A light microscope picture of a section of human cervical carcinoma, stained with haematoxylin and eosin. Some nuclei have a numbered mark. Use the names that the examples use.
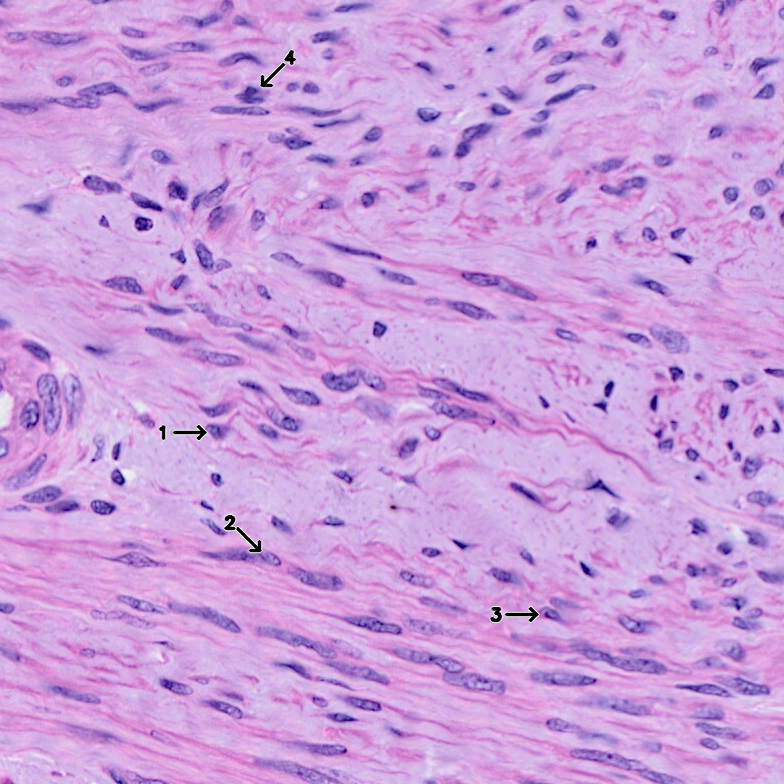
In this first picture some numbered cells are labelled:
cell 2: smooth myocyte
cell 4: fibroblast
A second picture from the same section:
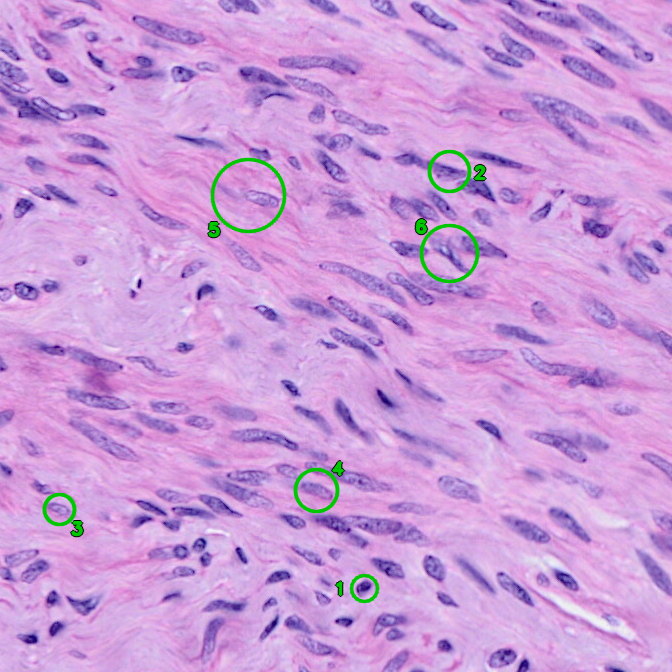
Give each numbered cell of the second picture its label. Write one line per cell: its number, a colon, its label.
1: fibroblast
2: fibroblast
3: smooth myocyte
4: smooth myocyte
5: smooth myocyte
6: smooth myocyte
